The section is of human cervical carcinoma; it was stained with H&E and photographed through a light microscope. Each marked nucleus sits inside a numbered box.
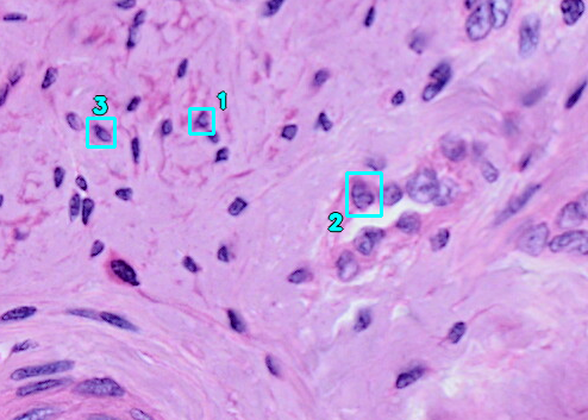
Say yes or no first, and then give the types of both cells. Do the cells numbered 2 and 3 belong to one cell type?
No, a smooth muscle cell is what cell 3 is, while cell 2 is an endothelial cell.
